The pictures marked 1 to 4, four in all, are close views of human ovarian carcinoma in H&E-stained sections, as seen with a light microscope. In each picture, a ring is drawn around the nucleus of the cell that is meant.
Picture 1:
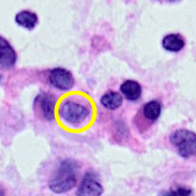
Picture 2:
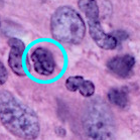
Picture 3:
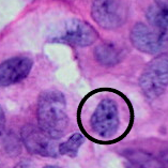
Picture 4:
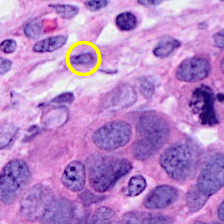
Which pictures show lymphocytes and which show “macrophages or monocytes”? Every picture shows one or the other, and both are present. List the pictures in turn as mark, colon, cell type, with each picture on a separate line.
1: macrophage or monocyte
2: lymphocyte
3: macrophage or monocyte
4: macrophage or monocyte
